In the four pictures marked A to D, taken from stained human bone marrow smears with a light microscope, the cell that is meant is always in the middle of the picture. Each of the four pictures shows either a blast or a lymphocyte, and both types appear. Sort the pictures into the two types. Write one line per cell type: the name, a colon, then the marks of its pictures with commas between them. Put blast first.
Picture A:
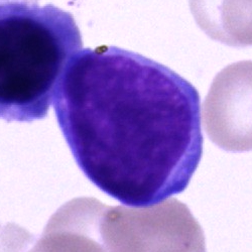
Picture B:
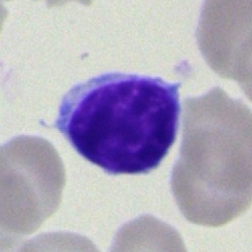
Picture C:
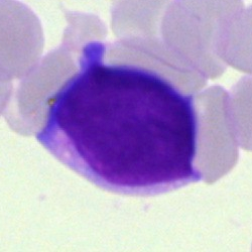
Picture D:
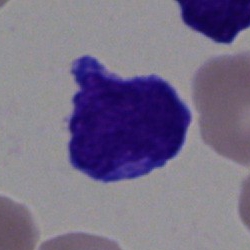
blast: A, C, D
lymphocyte: B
